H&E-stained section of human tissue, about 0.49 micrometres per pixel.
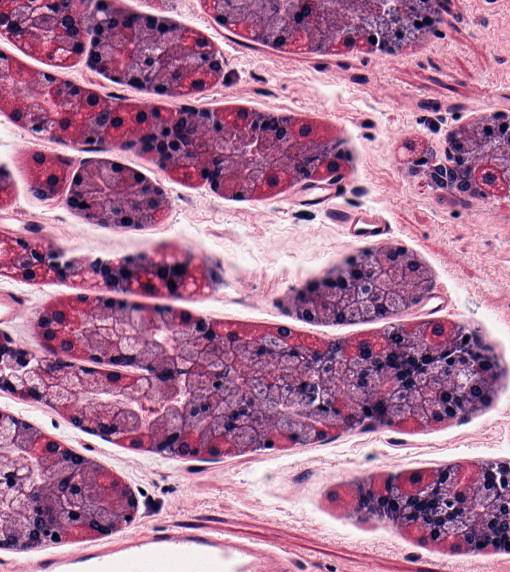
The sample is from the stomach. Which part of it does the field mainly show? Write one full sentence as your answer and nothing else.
In this tissue section, the part on display is fundic glands.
